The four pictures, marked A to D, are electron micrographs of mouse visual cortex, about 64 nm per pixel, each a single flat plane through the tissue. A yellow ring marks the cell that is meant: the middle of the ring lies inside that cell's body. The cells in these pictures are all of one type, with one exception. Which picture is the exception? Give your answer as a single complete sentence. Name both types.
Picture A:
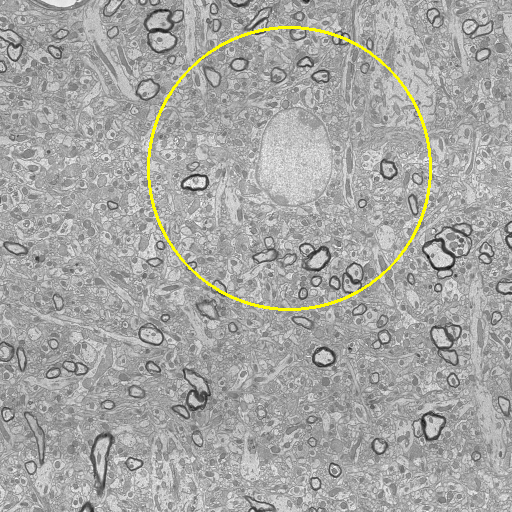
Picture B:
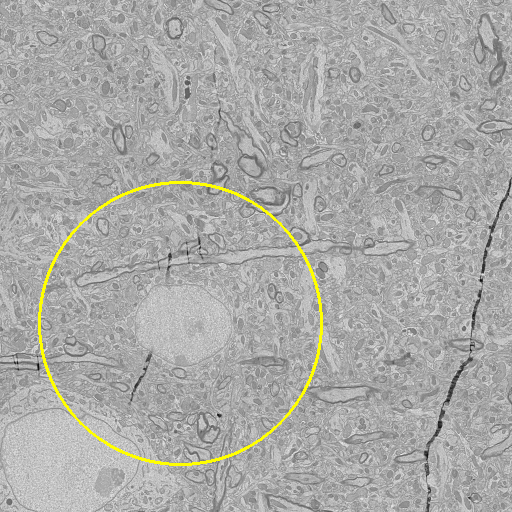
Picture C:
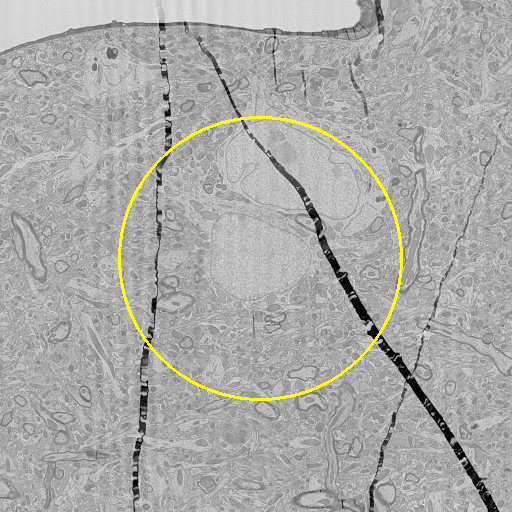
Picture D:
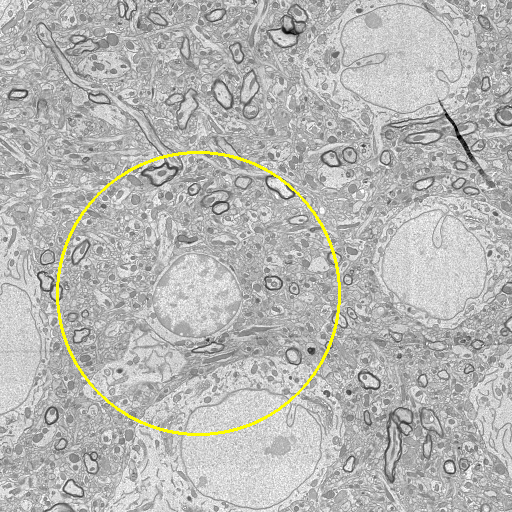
The different one is picture D; it shows an oligodendrocyte, whereas all the others show astrocytes.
